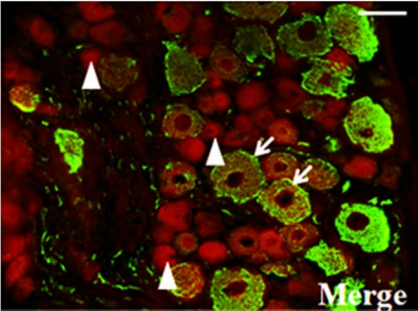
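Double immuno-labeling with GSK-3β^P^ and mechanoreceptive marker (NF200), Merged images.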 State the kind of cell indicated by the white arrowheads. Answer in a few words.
Small-diameter, nociceptive neurons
